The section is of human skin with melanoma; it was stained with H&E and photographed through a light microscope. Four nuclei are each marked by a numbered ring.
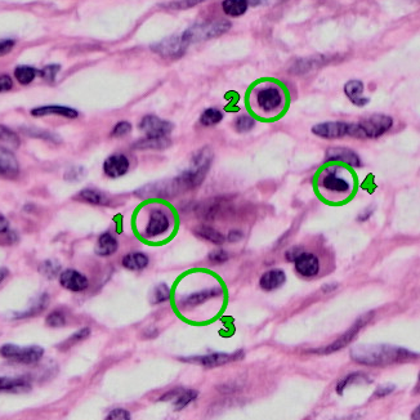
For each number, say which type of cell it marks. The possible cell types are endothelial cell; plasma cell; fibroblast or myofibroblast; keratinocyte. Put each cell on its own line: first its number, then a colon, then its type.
1: plasma cell
2: plasma cell
3: fibroblast or myofibroblast
4: plasma cell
